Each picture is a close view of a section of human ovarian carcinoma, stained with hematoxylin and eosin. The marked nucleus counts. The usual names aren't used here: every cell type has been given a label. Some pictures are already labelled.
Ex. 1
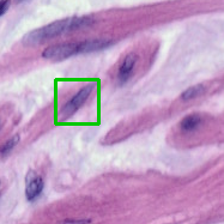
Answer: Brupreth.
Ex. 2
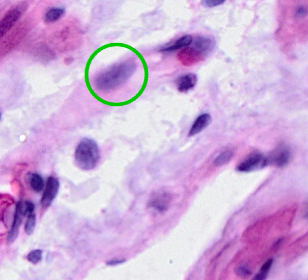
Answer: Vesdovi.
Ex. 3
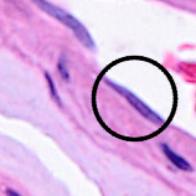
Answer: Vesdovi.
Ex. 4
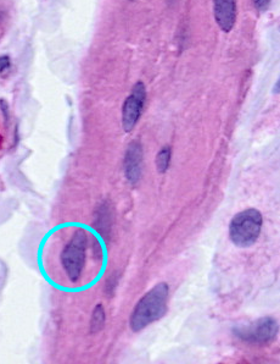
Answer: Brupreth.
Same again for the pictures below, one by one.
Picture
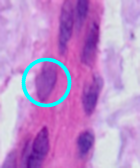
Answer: Brupreth.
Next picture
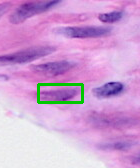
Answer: Brupreth.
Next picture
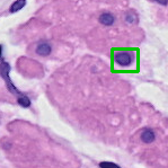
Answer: Brupreth.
